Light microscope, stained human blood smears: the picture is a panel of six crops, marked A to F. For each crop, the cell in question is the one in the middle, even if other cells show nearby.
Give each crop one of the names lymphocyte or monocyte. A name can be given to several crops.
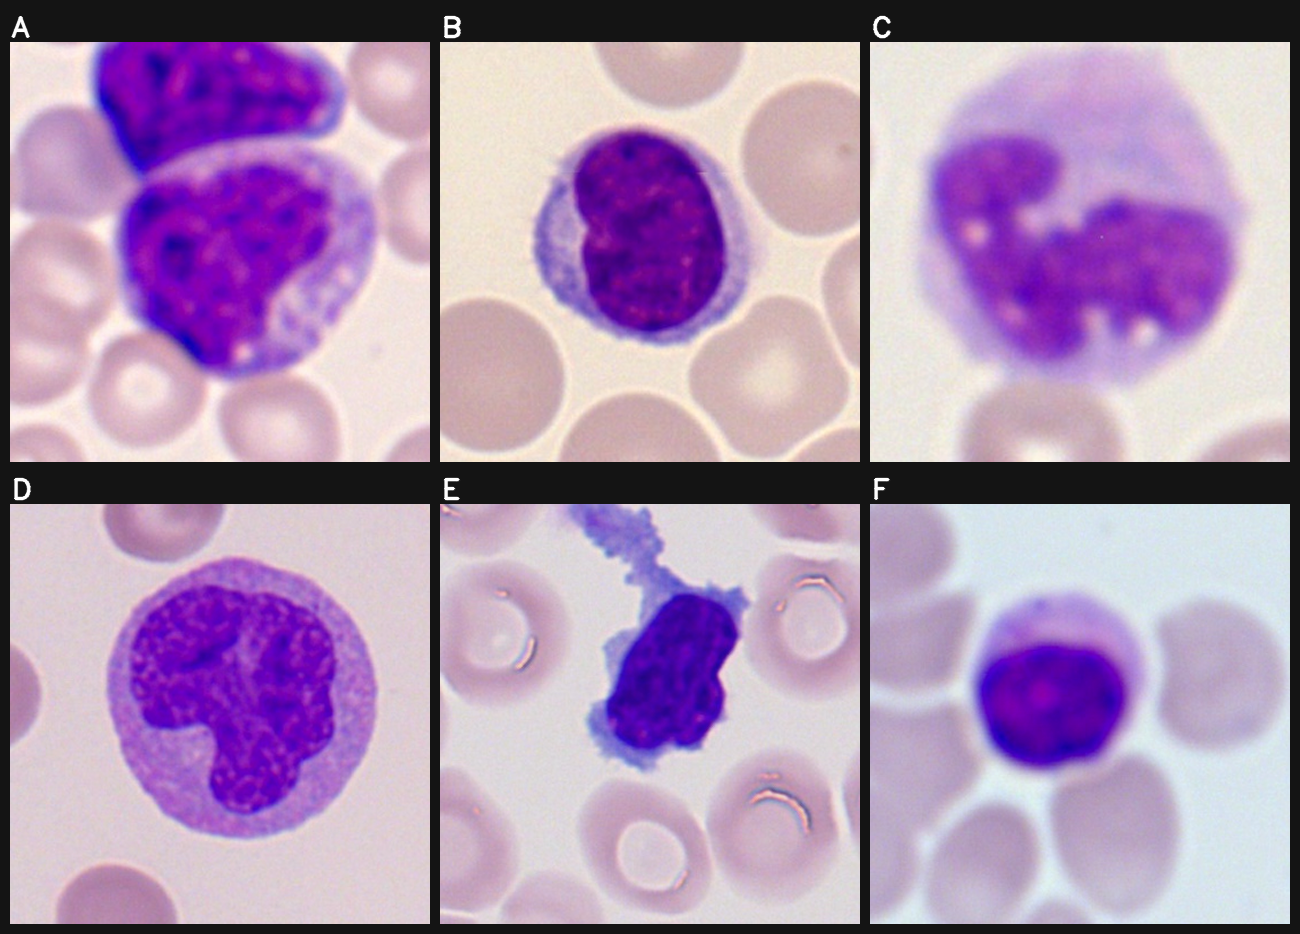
A: monocyte
B: lymphocyte
C: monocyte
D: monocyte
E: lymphocyte
F: lymphocyte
